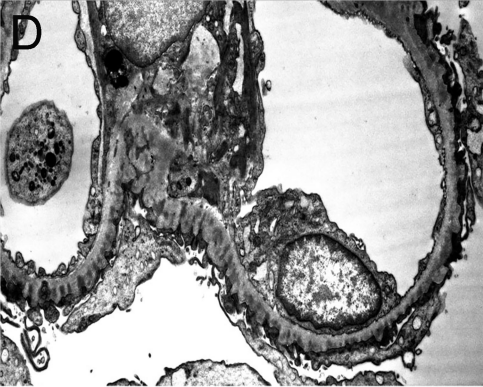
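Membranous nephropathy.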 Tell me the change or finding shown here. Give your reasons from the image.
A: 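The capillary basement membrane is thickened. Dark dense material lies within and on the outer side of the membrane beneath the covering epithelial cell. That points to this answer: subepithelial and intramembranous electron-dense deposits.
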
